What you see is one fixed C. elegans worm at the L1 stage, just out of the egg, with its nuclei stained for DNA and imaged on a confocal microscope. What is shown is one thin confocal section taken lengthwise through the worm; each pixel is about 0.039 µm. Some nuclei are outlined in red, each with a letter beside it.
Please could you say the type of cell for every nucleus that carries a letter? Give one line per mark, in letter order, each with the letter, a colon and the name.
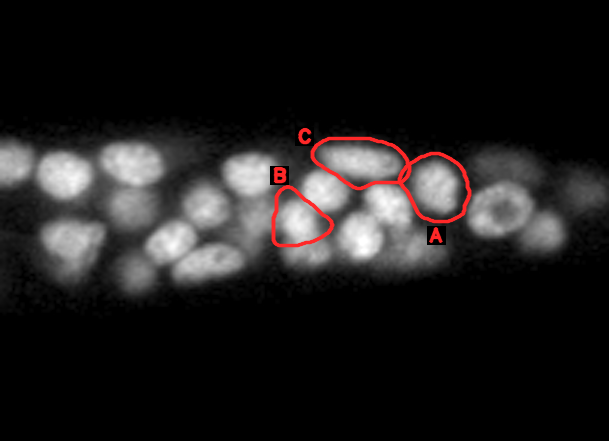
A: neuron
B: neuron
C: body wall muscle cell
